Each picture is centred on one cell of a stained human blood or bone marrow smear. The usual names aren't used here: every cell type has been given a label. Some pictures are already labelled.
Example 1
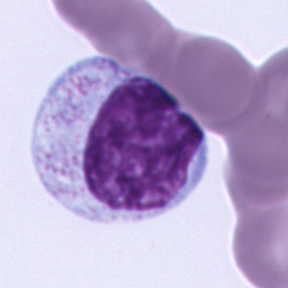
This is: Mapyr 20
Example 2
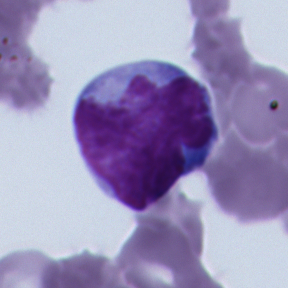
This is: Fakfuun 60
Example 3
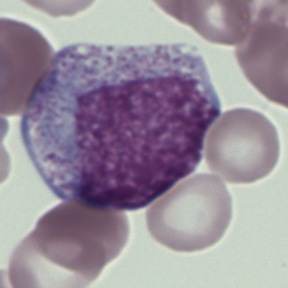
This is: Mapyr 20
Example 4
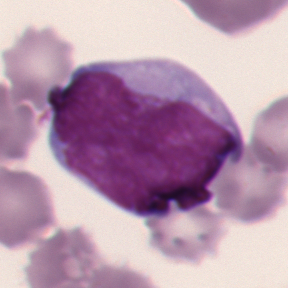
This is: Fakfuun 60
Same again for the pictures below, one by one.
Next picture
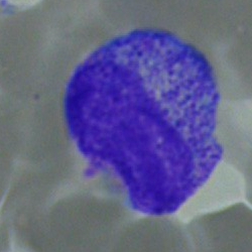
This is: Mapyr 20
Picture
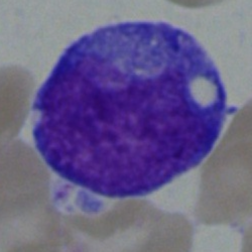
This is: Fakfuun 60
